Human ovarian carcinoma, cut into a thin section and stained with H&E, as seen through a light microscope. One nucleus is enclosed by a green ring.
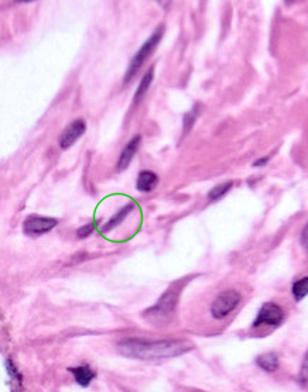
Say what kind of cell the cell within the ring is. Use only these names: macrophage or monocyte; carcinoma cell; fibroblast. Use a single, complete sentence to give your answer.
In the stained section, the cell within the ring is a fibroblast.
